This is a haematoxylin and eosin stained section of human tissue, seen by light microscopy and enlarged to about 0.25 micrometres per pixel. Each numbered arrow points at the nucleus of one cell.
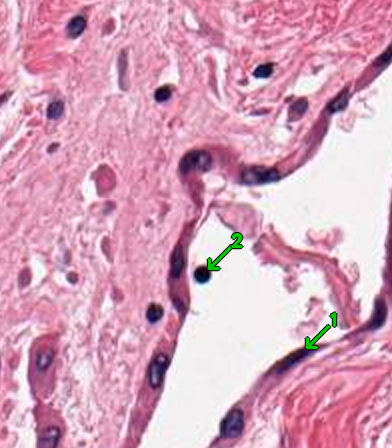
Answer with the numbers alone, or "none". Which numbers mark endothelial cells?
1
